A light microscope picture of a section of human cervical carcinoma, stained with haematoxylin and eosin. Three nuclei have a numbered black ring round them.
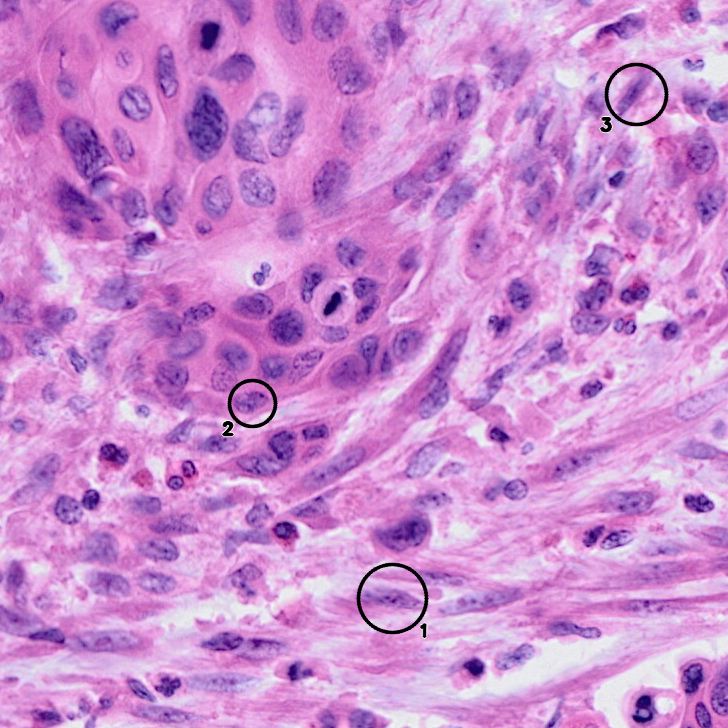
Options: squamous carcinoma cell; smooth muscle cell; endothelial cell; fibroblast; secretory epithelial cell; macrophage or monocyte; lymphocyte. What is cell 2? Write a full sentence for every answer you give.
The cell marked with number 2 is a squamous carcinoma cell.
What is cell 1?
The cell indicated with the number 1 is classed as a fibroblast.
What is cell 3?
The correct label for cell 3 is a fibroblast.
